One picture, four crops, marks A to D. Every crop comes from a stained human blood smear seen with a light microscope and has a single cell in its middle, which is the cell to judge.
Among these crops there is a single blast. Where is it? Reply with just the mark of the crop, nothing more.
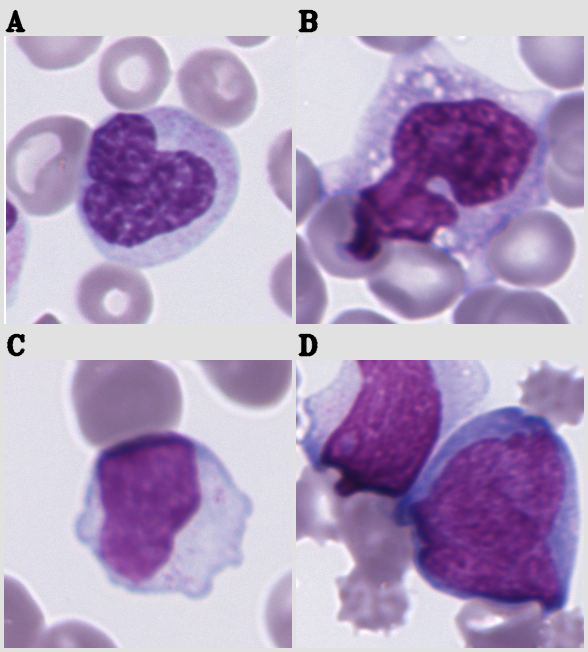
D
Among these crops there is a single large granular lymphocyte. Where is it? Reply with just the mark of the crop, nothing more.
C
